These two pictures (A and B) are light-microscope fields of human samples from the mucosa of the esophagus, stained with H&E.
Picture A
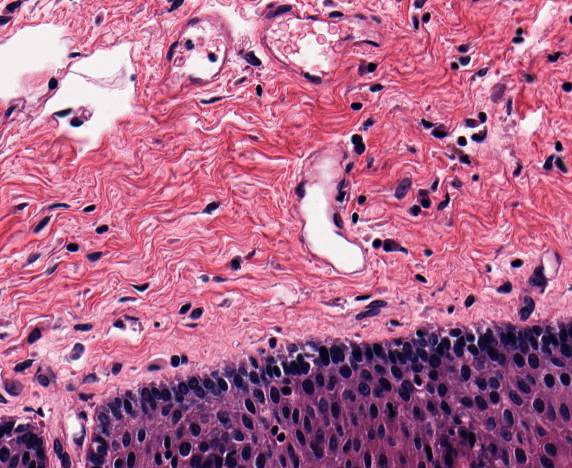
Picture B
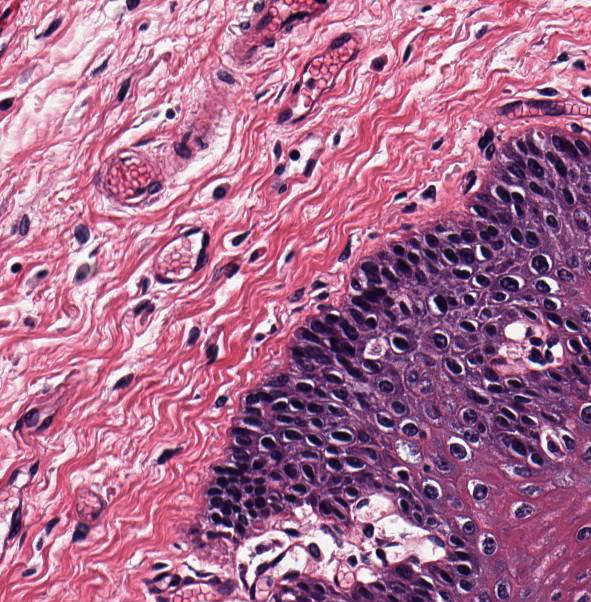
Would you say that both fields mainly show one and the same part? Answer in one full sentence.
Yes, they mainly show the same part: both mainly show loose connective tissue.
